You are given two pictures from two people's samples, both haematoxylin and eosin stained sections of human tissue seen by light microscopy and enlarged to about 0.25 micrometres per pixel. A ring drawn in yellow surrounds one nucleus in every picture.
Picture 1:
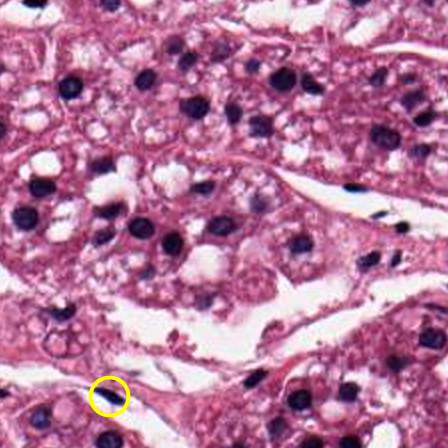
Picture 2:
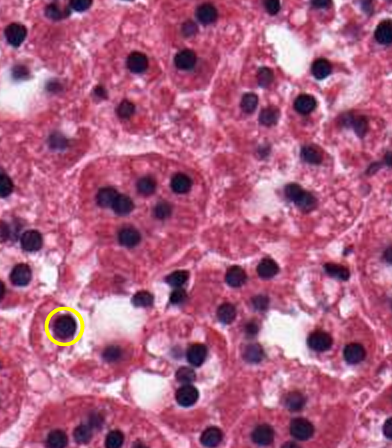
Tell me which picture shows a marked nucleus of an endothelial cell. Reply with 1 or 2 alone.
1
